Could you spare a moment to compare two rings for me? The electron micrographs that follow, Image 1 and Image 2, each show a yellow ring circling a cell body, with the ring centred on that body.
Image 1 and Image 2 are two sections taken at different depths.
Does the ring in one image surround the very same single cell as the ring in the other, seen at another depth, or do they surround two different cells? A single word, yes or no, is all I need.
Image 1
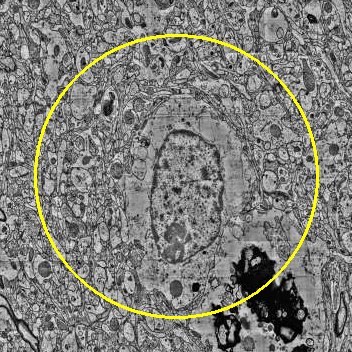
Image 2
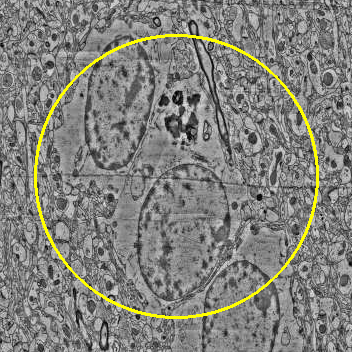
no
